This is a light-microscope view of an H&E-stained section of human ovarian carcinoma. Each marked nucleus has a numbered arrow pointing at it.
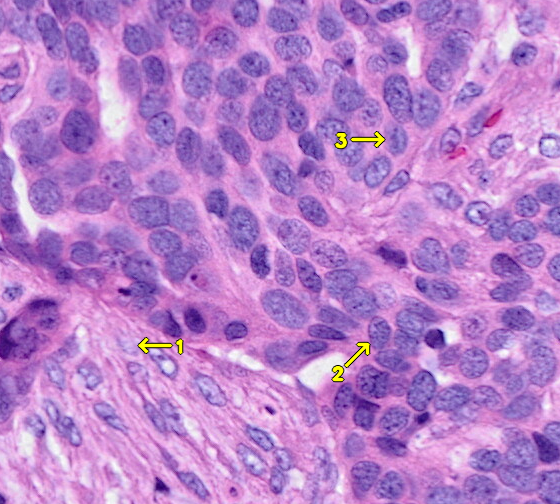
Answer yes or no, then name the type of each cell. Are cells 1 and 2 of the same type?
No, a fibroblast is what cell 1 is, and a carcinoma cell is what cell 2 is.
